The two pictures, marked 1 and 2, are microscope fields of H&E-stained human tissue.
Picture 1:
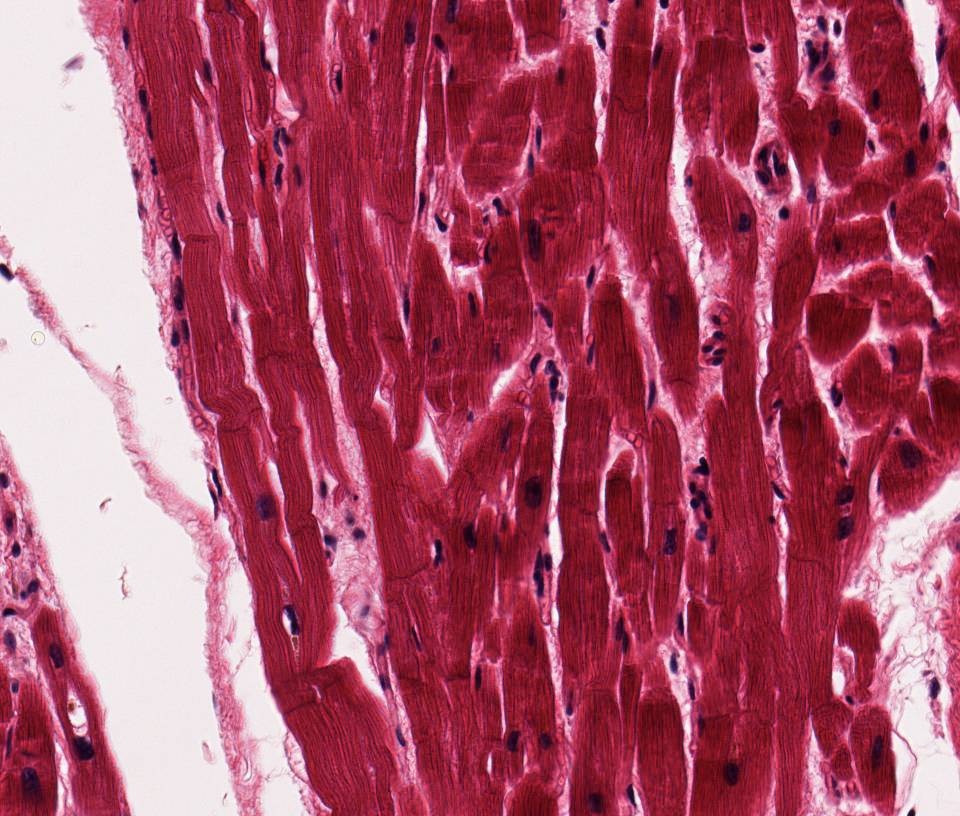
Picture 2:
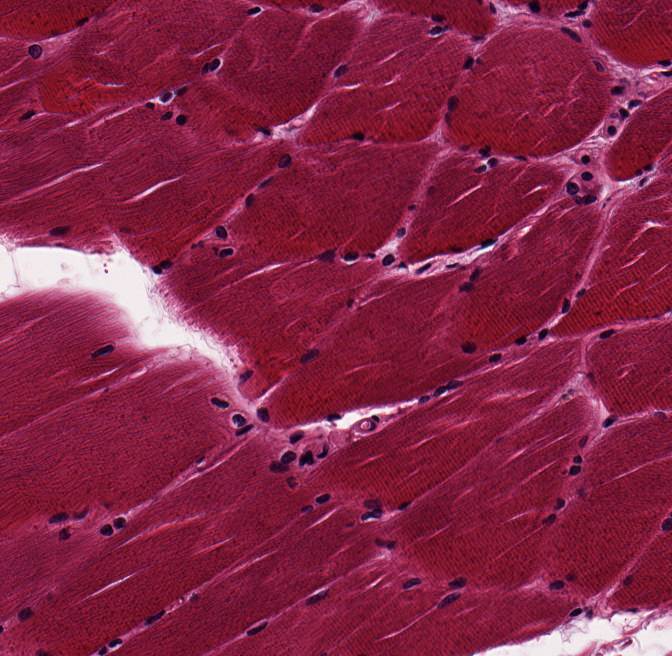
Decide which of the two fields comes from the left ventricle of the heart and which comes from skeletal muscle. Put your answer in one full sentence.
Picture 1 comes from the left ventricle of the heart; picture 2 comes from skeletal muscle.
